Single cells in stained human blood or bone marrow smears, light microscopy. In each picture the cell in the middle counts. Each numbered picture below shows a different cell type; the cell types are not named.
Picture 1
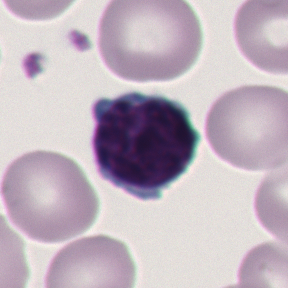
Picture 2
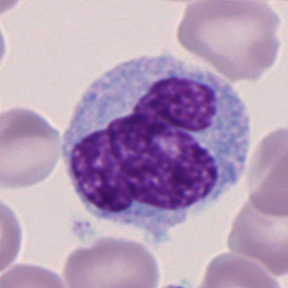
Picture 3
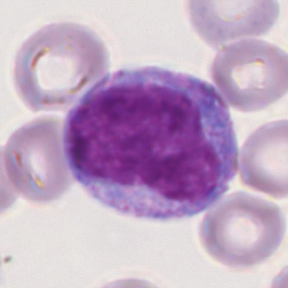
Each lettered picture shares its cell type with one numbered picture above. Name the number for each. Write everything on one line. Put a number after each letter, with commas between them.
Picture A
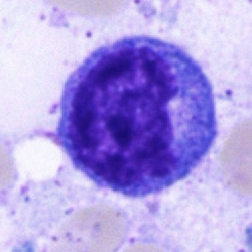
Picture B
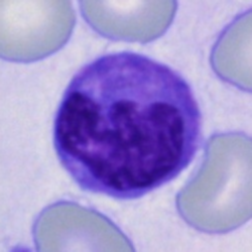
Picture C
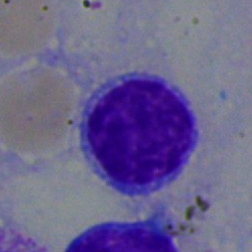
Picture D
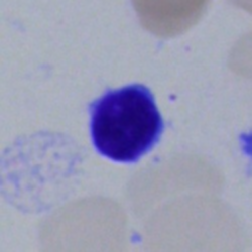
A 3, B 2, C 1, D 1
